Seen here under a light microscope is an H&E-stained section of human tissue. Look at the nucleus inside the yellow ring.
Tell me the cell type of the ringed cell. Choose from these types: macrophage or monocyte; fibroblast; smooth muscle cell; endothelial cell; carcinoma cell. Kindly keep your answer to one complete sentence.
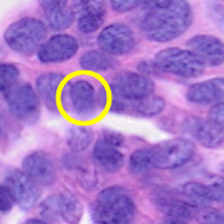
So far as cell type goes, the ringed cell is a carcinoma cell.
